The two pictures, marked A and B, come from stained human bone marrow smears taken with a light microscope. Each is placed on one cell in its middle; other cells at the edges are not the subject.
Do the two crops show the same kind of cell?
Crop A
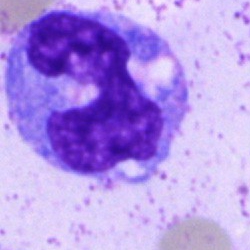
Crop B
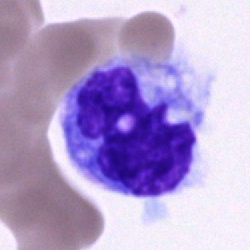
yes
